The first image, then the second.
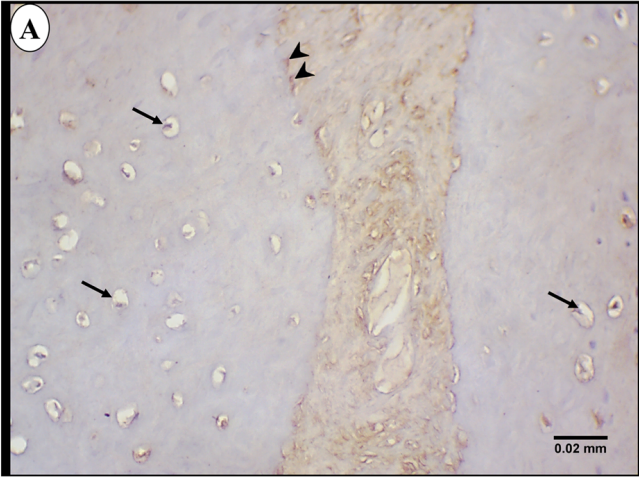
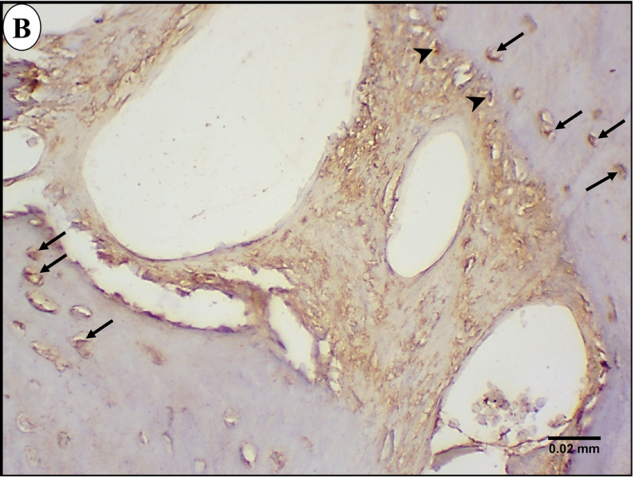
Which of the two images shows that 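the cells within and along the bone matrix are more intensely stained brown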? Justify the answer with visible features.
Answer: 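The second image. Second image: many cells in lacunae and along the matrix surface have dark brown rims. First image: most cells in lacunae are pale with only faint brown staining.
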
